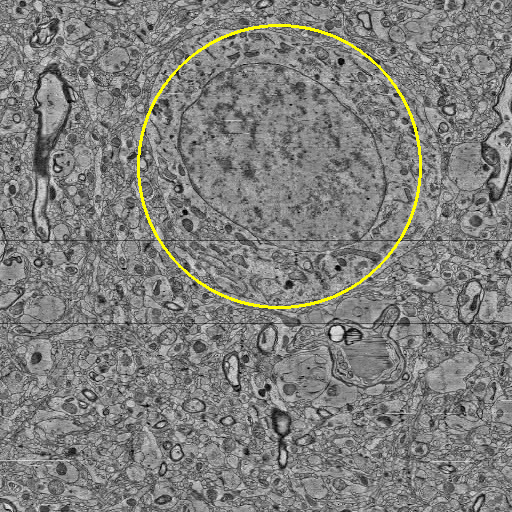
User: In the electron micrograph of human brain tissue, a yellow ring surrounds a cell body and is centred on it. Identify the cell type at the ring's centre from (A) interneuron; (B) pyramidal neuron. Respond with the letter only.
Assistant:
A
